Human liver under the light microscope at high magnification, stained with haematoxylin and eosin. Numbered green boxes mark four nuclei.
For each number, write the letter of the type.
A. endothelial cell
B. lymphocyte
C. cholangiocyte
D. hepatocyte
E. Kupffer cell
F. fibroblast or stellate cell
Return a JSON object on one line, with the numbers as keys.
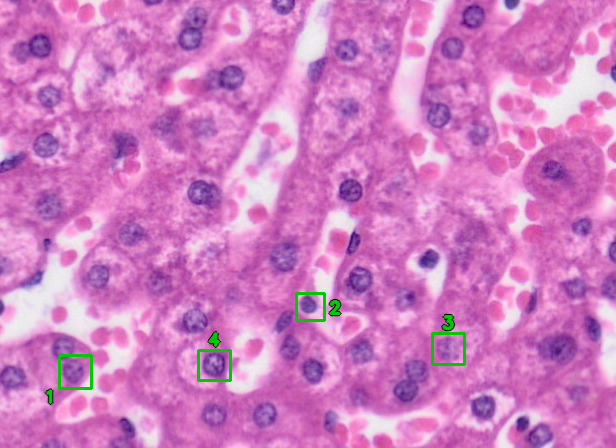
{"1": "D", "2": "B", "3": "D", "4": "D"}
